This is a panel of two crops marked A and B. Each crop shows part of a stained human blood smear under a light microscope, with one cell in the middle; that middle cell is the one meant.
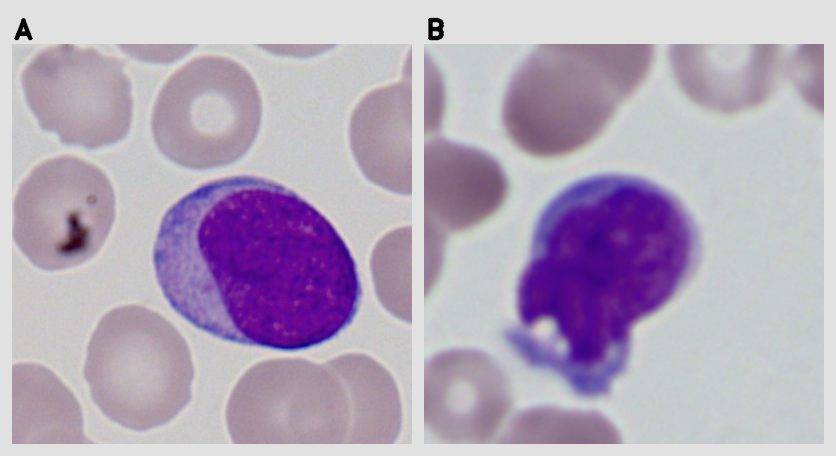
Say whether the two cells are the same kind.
yes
